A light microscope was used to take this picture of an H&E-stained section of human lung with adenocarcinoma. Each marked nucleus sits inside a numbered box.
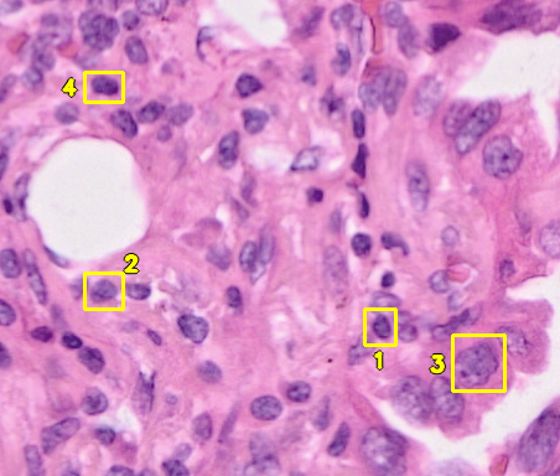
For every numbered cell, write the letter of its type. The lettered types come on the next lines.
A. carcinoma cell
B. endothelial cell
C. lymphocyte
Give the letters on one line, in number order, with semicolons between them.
C; C; A; C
